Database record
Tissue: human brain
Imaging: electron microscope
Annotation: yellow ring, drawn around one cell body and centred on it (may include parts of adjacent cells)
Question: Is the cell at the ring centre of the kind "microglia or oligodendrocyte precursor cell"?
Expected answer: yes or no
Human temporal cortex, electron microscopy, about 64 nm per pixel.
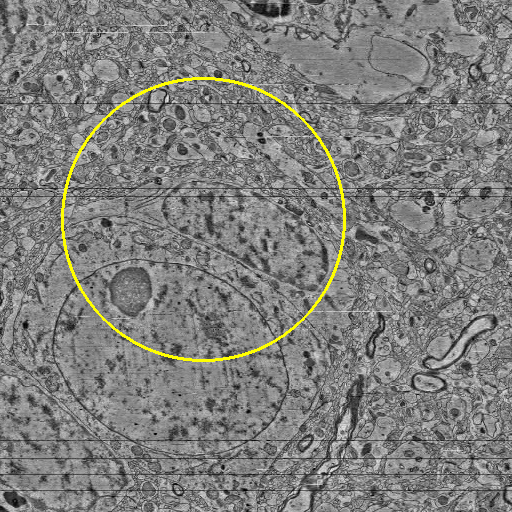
yes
